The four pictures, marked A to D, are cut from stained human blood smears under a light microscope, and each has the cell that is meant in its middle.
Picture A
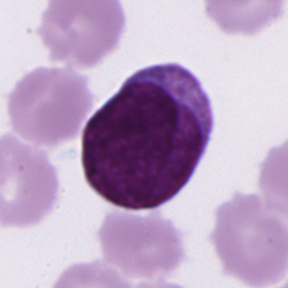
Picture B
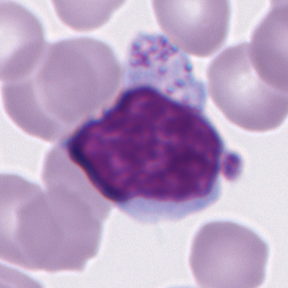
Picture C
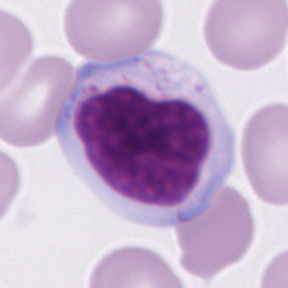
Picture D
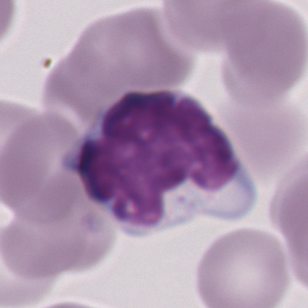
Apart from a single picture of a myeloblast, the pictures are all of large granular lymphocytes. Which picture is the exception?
A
